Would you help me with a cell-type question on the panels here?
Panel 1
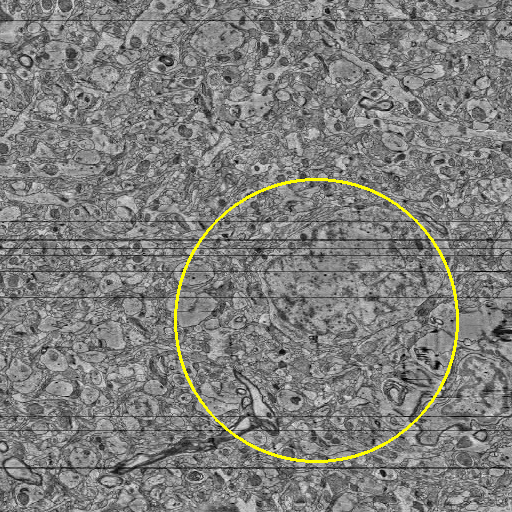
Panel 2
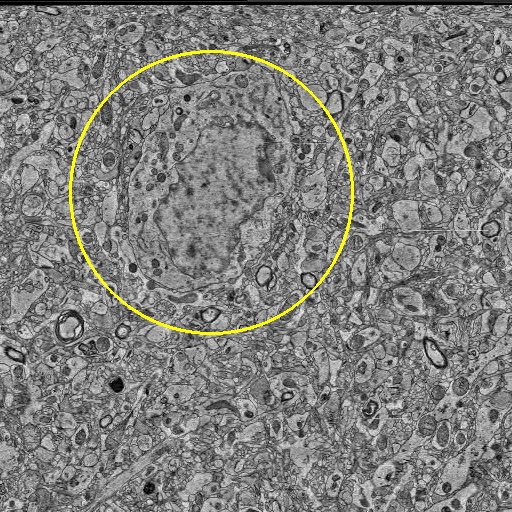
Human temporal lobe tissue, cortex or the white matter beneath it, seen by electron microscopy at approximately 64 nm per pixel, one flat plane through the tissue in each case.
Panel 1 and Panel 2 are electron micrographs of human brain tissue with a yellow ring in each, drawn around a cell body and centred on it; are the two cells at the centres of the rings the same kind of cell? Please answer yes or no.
yes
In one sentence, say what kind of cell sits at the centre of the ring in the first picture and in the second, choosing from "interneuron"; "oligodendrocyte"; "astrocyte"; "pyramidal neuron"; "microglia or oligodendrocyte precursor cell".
The cell in the first picture is an interneuron, and so is the one in the second.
